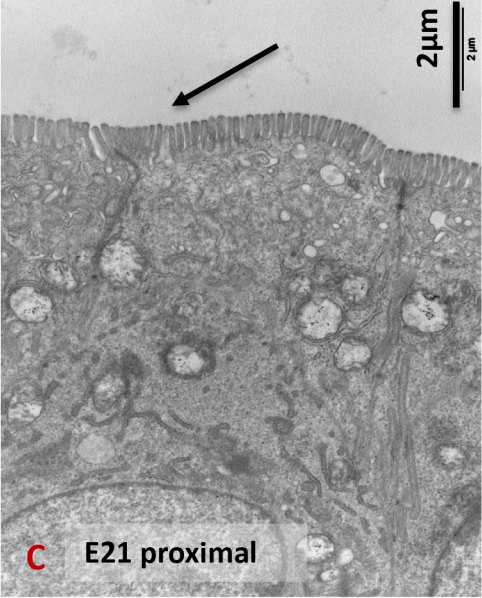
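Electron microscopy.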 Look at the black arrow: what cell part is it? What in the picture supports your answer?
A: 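Microvilli. A row of short, closely packed finger-like projections lines the upper cell surface. The projections face an empty space above the cells.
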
